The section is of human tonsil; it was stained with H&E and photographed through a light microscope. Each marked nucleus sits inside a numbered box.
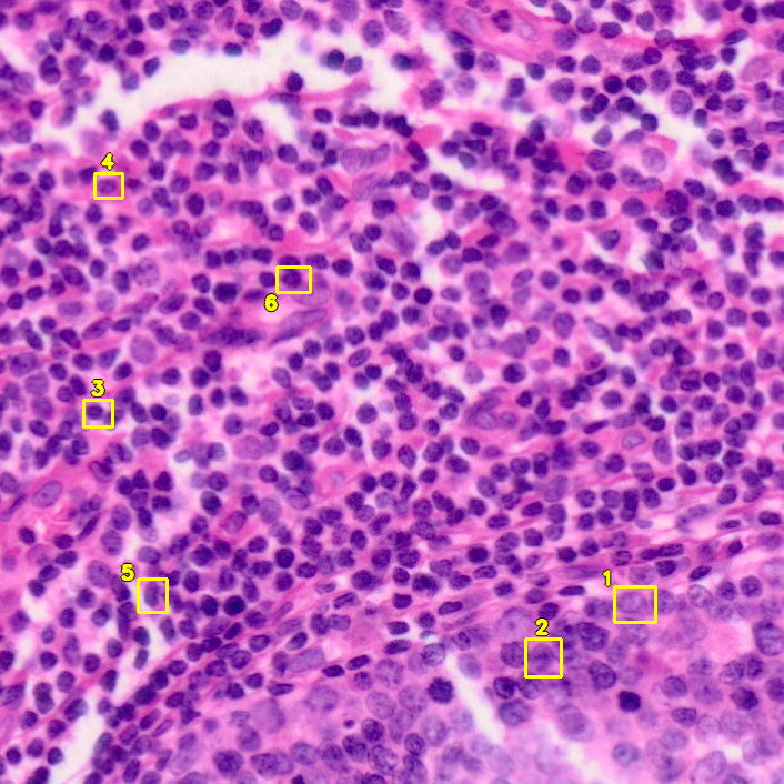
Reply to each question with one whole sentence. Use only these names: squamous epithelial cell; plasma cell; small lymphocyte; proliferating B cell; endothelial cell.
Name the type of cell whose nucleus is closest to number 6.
The nucleus nearest to number 6 is that of a small lymphocyte.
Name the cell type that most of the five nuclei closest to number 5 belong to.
Small lymphocytes account for more than half of the five nuclei nearest to number 5.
